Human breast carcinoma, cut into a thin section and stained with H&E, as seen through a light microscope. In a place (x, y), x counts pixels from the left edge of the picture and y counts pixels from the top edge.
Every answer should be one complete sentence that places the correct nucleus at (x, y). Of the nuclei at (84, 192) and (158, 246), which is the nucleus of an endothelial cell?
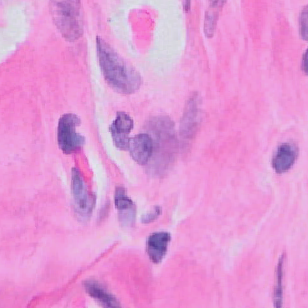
The nucleus at (84, 192), rather than the other one, belongs to an endothelial cell.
